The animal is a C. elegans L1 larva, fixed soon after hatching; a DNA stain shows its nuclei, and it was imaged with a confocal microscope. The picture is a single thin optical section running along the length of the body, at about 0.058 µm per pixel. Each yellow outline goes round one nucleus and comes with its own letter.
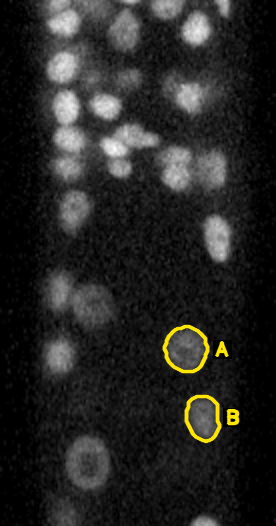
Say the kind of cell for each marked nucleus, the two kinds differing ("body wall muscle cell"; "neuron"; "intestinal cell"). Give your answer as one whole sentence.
Nucleus A comes from an intestinal cell and nucleus B from a body wall muscle cell.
